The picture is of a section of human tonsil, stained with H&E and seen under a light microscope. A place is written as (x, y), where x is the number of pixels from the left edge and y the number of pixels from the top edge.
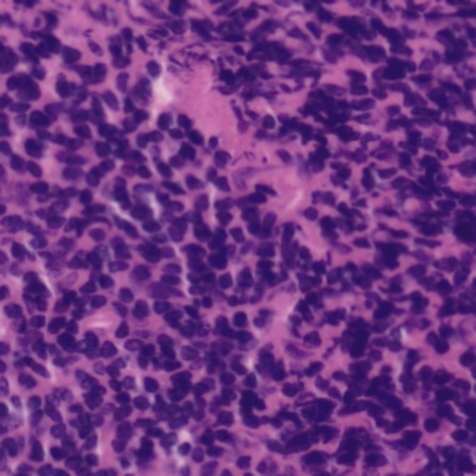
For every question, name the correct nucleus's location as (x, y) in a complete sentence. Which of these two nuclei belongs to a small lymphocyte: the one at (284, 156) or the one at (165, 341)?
The nucleus at (165, 341) is assigned to a small lymphocyte.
